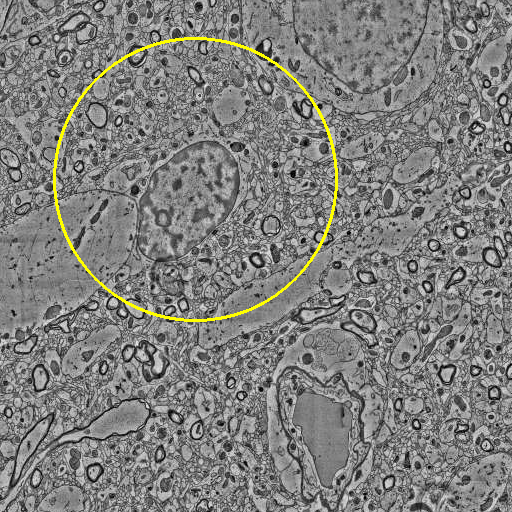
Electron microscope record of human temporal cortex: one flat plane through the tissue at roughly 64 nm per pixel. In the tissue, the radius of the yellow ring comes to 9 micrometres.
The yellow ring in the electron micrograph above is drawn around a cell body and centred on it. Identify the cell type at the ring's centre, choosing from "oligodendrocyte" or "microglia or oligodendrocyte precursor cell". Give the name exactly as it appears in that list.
microglia or oligodendrocyte precursor cell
